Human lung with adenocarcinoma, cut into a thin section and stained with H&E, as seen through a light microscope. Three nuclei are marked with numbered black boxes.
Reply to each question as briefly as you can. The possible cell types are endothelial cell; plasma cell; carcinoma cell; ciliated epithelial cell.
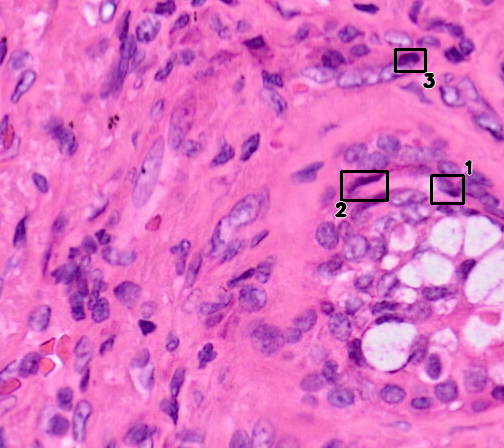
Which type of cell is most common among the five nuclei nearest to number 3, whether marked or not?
endothelial cell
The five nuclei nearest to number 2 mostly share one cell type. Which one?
ciliated epithelial cell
